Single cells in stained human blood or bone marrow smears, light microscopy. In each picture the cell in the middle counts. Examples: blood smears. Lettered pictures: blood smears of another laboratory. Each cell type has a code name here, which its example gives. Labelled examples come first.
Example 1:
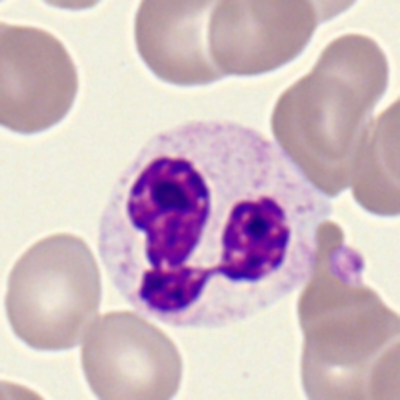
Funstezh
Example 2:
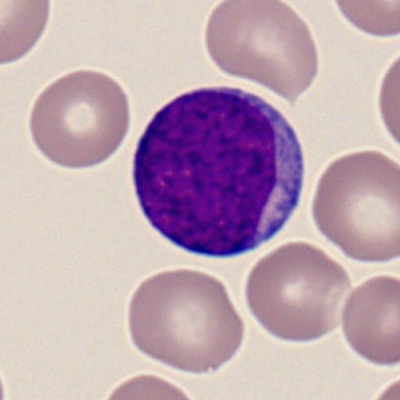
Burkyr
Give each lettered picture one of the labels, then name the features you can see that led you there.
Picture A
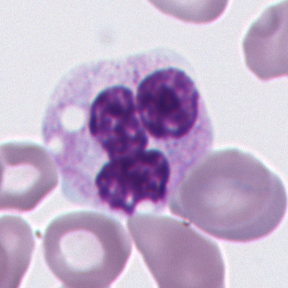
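Funstezh: The cytoplasm is plentiful and widest on the left side of the nucleus.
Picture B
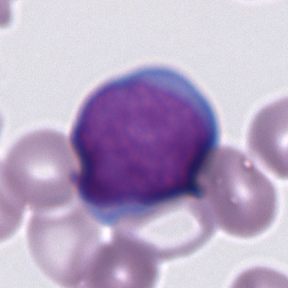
Burkyr: The cytoplasm forms only a narrow rim around the nucleus.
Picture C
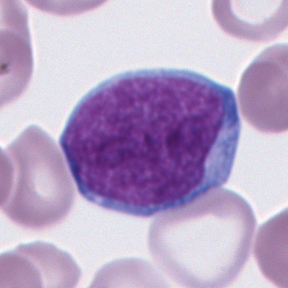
Burkyr: The cytoplasm forms a narrow rim that is widest on the right side.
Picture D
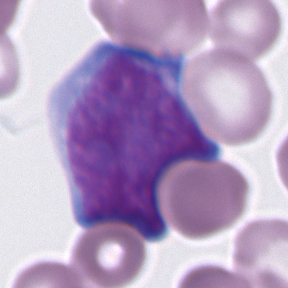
Burkyr: The nucleus is a single unlobed mass.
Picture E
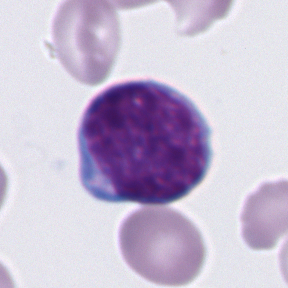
Burkyr: The cytoplasm forms a narrow rim that is widest at the lower left.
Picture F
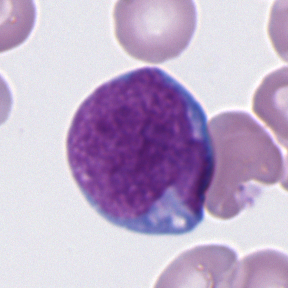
Burkyr: The cytoplasm forms a thin rim that is widest at the lower right.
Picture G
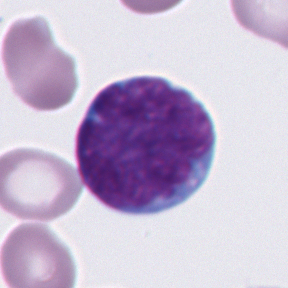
Burkyr: The cytoplasm is a thin rim that is widest at the lower right.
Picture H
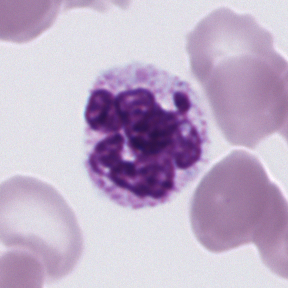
Funstezh: The nucleus is split into more than four separate lobes.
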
